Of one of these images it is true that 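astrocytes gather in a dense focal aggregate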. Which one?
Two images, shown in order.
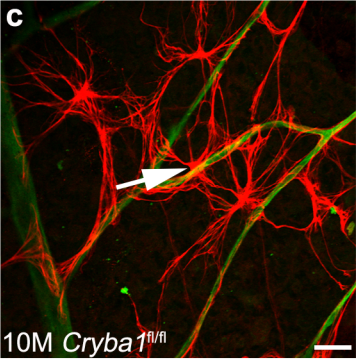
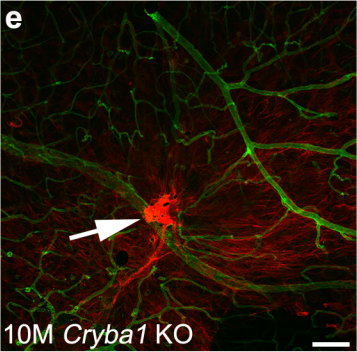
The second image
